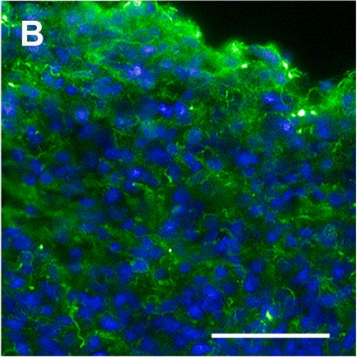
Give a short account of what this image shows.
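A dense meshwork of fine green fibres runs between and around the cells throughout the field. The green is strongest near the tissue border at the upper right, where the tissue ends against a dark background.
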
